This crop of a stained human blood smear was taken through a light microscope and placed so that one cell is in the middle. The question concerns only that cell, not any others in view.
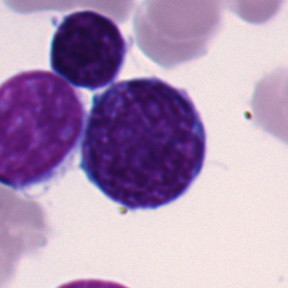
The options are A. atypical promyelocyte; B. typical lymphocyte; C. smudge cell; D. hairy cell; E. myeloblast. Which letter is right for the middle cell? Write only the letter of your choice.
E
